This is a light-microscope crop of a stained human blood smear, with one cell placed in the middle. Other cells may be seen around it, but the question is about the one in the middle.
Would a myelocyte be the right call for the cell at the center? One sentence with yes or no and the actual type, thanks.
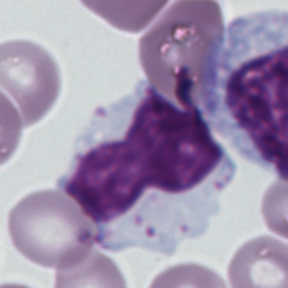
No, the central cell is not a myelocyte, being instead a large granular lymphocyte.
